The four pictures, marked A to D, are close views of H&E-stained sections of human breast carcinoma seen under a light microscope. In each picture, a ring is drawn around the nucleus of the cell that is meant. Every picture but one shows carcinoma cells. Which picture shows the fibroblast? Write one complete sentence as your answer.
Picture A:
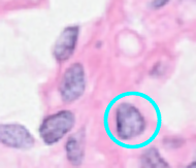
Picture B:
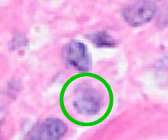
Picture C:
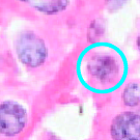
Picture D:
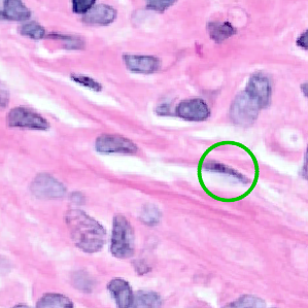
Picture D is the one that shows the fibroblast.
